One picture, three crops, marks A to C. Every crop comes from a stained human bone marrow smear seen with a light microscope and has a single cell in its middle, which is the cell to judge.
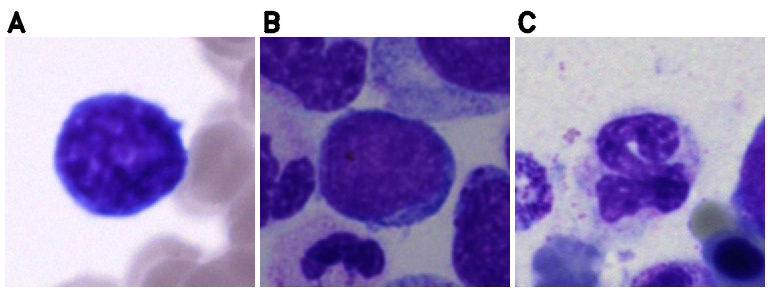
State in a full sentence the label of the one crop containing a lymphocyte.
The crop with a lymphocyte at its center is crop B.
